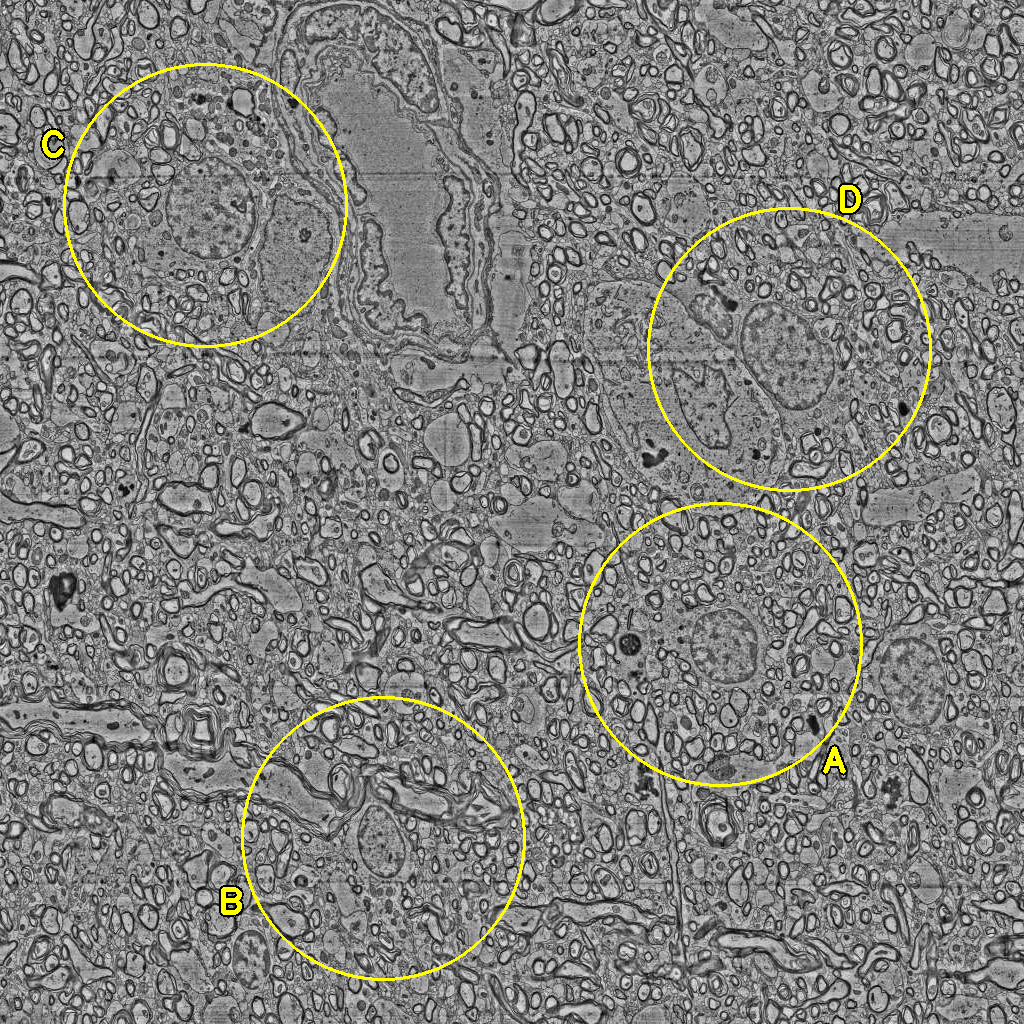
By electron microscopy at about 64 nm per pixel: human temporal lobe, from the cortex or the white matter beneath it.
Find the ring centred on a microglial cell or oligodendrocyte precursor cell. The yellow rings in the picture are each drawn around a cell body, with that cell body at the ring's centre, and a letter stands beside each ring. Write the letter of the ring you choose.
B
